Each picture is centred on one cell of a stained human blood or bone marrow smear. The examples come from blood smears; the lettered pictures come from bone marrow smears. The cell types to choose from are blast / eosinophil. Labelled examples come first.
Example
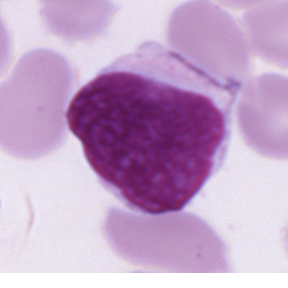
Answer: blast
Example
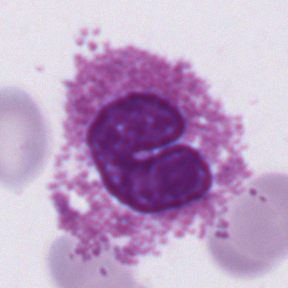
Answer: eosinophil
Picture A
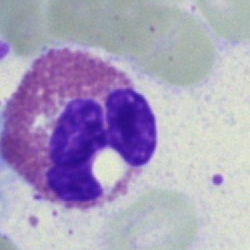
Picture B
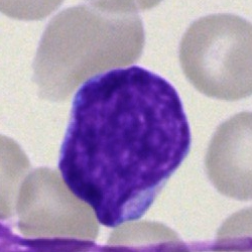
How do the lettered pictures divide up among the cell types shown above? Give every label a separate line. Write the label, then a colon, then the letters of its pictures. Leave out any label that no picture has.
blast: B
eosinophil: A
